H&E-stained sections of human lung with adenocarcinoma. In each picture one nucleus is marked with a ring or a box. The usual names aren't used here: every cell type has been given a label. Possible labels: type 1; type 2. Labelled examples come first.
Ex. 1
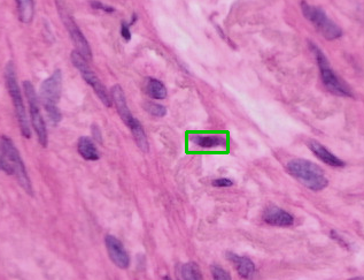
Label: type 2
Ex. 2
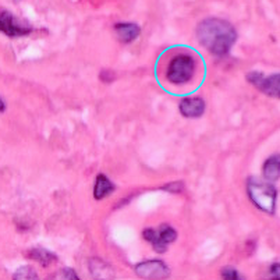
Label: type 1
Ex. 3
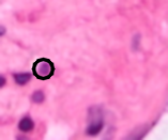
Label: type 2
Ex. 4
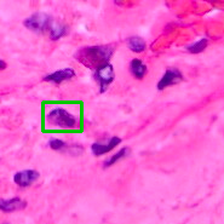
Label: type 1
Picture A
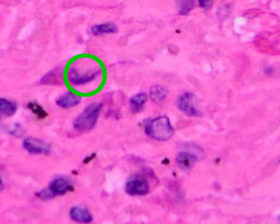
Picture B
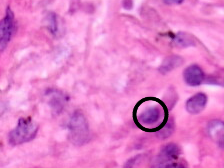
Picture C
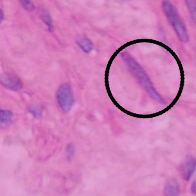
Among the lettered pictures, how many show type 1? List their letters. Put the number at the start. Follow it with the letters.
2: A, B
